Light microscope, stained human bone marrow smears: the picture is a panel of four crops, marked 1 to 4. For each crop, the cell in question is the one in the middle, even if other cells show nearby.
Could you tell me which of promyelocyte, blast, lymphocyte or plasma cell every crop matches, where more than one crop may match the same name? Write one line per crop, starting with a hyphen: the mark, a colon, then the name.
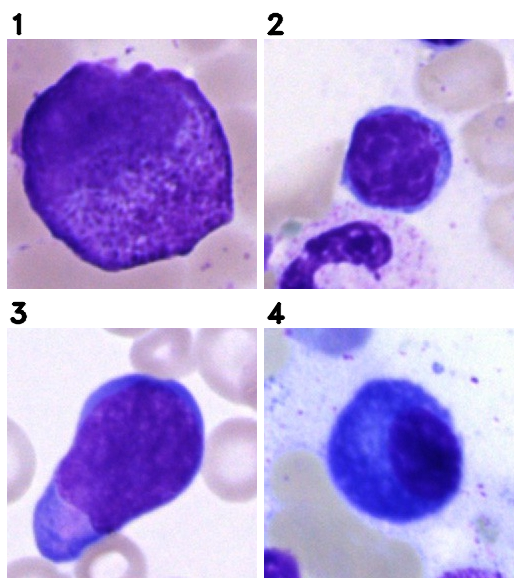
- 1: blast
- 2: lymphocyte
- 3: blast
- 4: plasma cell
